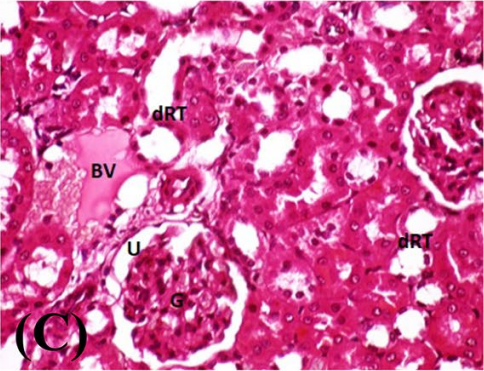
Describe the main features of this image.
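Renal cortex with a rounded glomerulus in the lower centre, its lobulated tuft rich in nuclei and surrounded by a clear urinary space within the capsule; a second glomerulus lies at the upper right edge. To the left of the glomerulus a blood vessel holds pink homogeneous material and red cells spilling into the adjacent field. The tubules are lined by cuboidal cells with deep pink cytoplasm and round central nuclei; many show open, widened lumens that appear as white gaps among the epithelium.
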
